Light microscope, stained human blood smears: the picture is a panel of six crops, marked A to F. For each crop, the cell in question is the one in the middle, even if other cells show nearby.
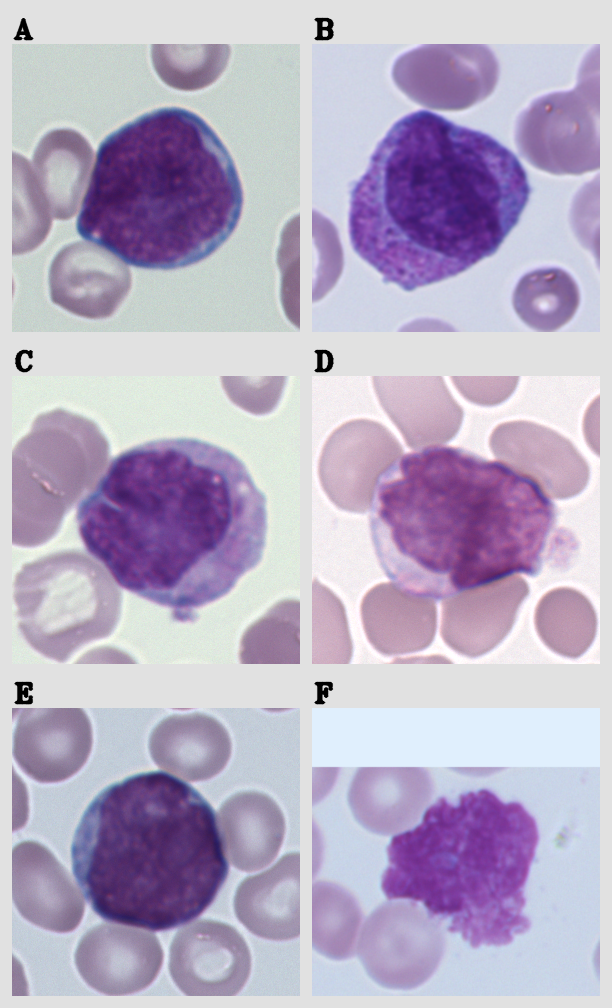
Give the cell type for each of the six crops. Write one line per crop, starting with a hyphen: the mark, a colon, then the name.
- A: myeloblast
- B: atypical promyelocyte
- C: atypical promyelocyte
- D: atypical promyelocyte
- E: myeloblast
- F: smudge cell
